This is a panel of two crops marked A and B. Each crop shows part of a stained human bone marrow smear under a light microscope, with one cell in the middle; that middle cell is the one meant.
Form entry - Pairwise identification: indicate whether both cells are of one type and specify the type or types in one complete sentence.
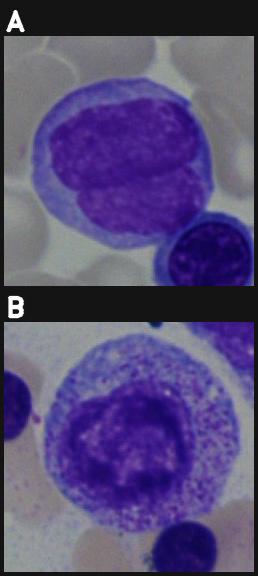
No, the assignment should read crop A, a monocyte; crop B, a myelocyte.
